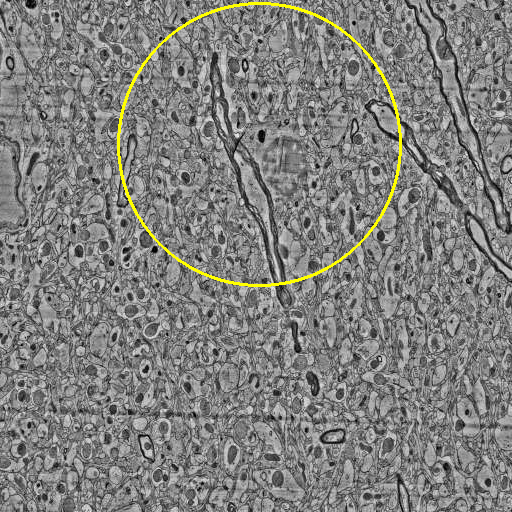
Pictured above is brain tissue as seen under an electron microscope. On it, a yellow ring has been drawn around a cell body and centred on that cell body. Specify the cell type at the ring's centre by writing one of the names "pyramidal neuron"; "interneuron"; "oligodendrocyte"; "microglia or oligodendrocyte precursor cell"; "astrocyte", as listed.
oligodendrocyte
